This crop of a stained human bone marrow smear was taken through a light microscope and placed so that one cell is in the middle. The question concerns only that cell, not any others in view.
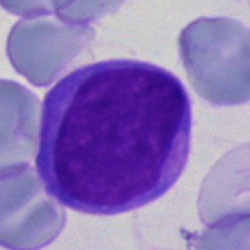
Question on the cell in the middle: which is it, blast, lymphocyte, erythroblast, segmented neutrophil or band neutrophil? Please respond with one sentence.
The center cell of this crop is a blast.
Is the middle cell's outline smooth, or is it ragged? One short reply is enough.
From every side, the cell boundary is smooth and free of projections.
